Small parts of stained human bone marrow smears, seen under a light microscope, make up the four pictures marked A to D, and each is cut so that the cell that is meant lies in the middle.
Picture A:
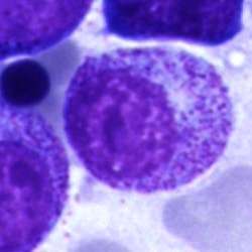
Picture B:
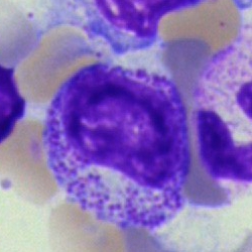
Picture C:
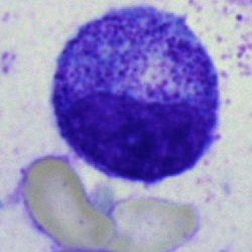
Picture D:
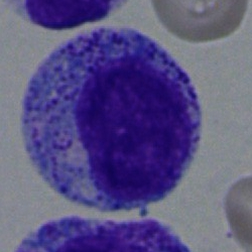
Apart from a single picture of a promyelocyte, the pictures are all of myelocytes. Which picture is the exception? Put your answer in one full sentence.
It is picture D that shows the promyelocyte.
